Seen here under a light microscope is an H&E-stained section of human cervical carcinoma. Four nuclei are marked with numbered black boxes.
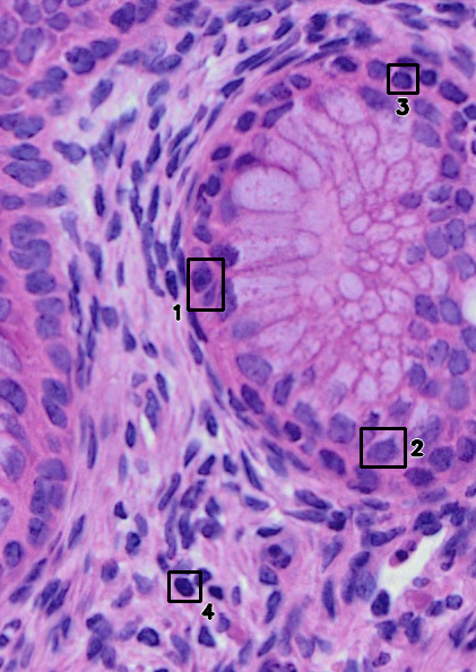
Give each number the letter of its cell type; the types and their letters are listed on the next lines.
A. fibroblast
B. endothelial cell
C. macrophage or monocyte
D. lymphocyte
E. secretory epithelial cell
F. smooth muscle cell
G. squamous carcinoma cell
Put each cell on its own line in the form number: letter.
1: E
2: E
3: E
4: D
